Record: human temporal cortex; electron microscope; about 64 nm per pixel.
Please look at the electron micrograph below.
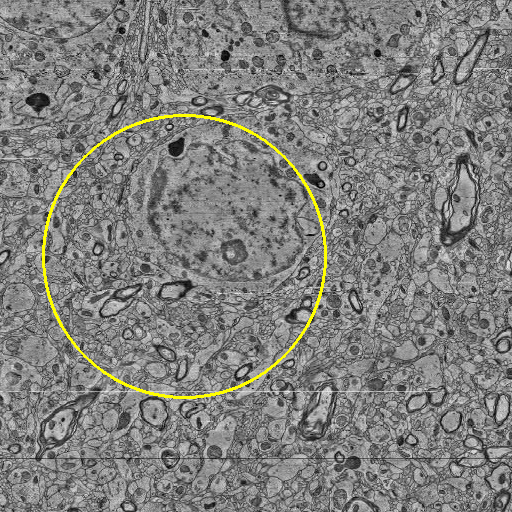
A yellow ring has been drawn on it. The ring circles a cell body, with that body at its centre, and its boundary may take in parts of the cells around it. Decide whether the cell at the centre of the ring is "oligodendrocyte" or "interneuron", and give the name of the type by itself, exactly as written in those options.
interneuron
